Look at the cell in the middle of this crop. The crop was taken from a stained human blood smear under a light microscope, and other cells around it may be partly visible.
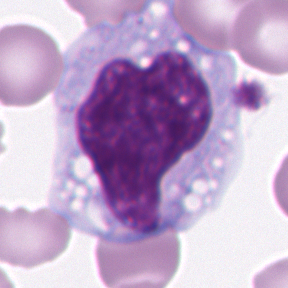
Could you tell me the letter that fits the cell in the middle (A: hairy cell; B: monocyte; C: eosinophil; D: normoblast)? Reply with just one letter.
B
